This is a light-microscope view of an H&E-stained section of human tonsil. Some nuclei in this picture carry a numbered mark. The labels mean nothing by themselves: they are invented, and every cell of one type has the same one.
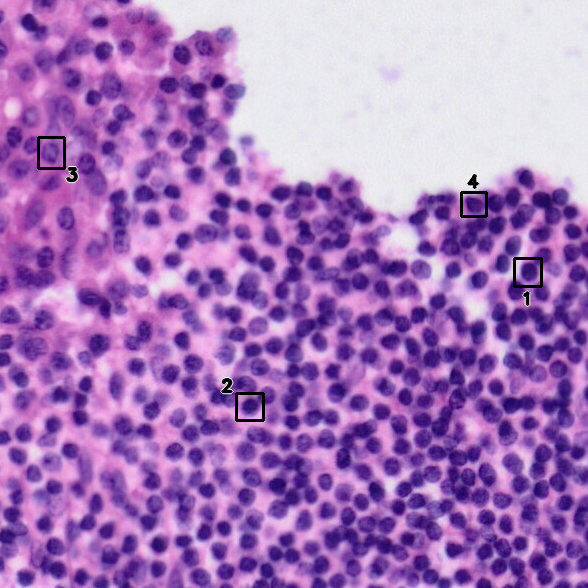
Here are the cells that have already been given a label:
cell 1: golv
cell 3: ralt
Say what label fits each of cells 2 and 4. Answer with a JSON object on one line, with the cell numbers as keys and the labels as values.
{"2": "golv", "4": "golv"}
